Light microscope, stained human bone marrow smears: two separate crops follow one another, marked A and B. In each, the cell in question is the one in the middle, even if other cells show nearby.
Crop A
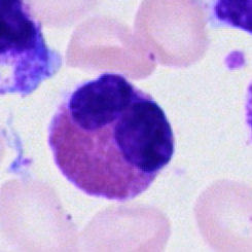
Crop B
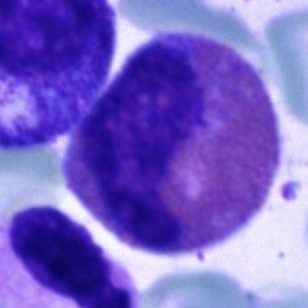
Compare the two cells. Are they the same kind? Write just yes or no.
yes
